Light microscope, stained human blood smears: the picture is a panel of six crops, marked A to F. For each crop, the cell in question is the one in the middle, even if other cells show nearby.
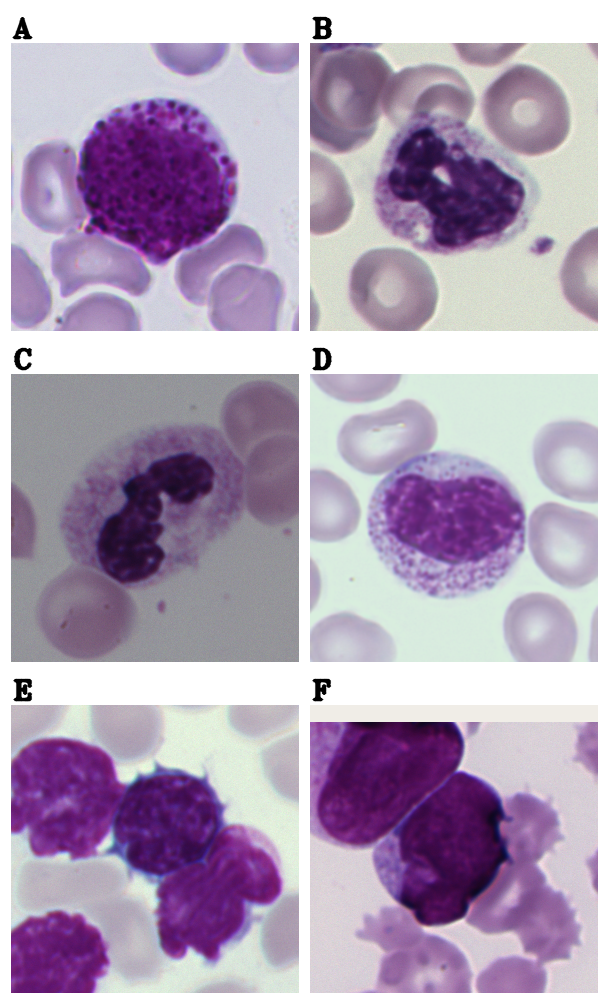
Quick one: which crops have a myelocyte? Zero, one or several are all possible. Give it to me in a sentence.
Among the crops, not a single one shows a myelocyte.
